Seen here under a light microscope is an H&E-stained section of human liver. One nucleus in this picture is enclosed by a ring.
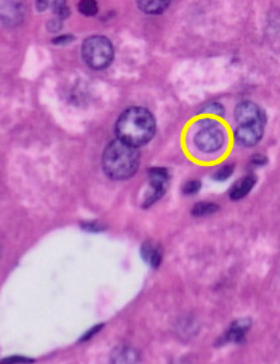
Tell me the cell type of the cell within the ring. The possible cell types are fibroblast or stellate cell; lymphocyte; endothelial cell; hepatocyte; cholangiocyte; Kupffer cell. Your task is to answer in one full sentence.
Within this tissue, the cell within the ring is a cholangiocyte.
